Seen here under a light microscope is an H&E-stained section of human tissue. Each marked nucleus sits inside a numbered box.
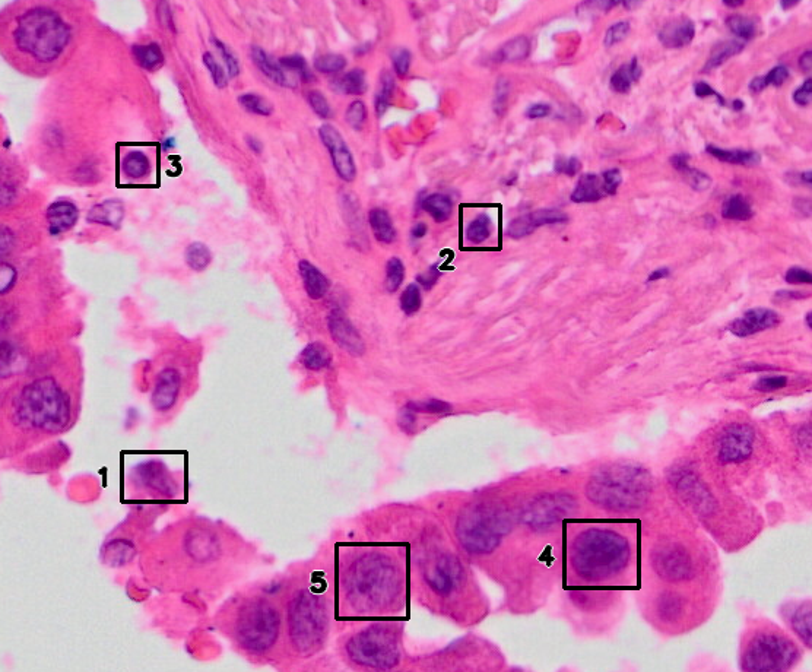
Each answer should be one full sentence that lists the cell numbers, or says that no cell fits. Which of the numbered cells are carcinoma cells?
The cells tagged with numbers 4 and 5 are carcinoma cells.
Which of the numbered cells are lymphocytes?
The cells referred to by the numbers 2 and 3 are lymphocytes.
